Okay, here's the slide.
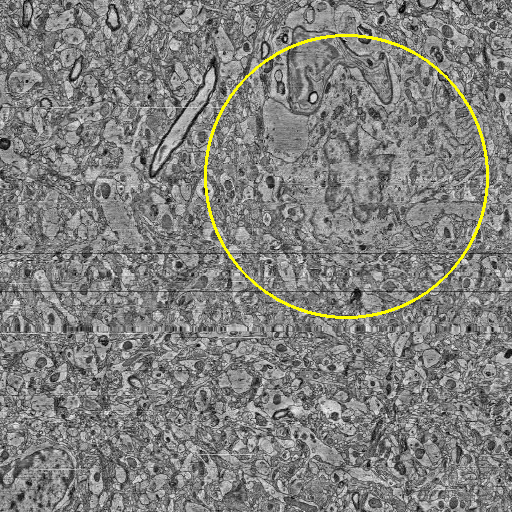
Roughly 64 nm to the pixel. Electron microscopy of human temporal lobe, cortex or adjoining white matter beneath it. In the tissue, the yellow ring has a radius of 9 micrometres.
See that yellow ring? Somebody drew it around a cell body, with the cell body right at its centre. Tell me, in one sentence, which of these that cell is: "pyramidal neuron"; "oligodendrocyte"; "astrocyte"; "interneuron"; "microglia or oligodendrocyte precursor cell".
The cell in the middle of the ring is an interneuron.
